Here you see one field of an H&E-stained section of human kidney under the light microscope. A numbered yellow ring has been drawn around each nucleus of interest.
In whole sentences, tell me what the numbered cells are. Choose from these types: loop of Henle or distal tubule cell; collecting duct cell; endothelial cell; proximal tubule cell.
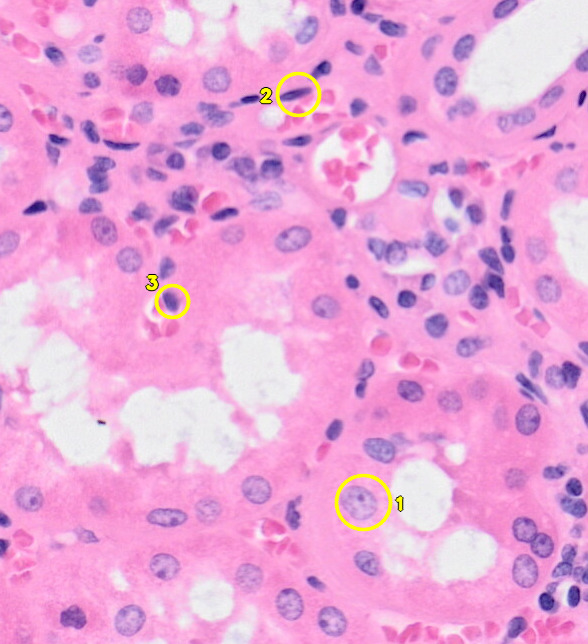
Cell 1 is a proximal tubule cell. Cells 2 and 3 are endothelial cells.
